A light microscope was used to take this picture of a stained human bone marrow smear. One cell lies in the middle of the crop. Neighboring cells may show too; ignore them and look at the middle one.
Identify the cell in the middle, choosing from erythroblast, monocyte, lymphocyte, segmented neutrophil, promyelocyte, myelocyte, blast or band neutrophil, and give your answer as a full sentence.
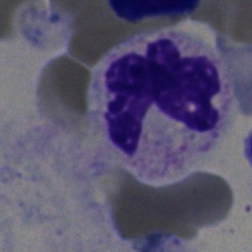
The middle of this crop holds a segmented neutrophil.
